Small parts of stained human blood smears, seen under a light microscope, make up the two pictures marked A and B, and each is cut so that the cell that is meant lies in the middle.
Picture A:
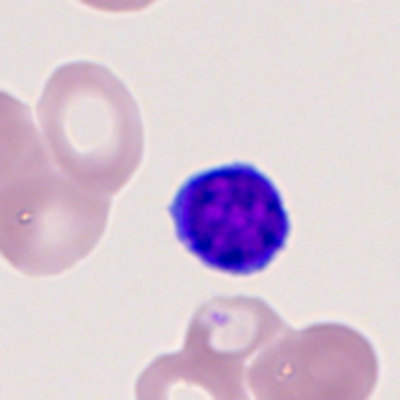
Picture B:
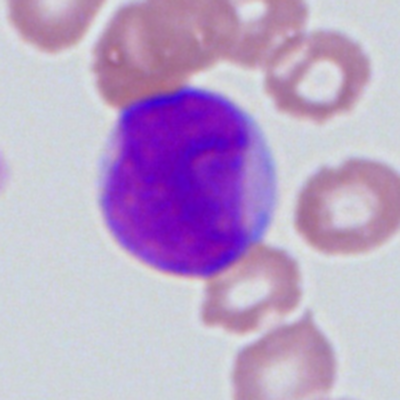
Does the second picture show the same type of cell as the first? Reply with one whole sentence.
No; the cell in picture A is a lymphocyte, while the one in picture B is a myeloblast.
